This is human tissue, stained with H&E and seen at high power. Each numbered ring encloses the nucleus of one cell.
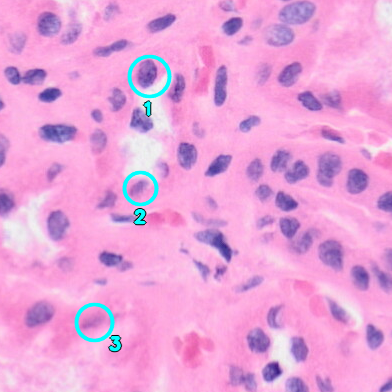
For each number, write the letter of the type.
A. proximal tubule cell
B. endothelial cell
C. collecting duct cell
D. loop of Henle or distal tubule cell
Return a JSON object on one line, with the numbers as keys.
{"1": "D", "2": "D", "3": "A"}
